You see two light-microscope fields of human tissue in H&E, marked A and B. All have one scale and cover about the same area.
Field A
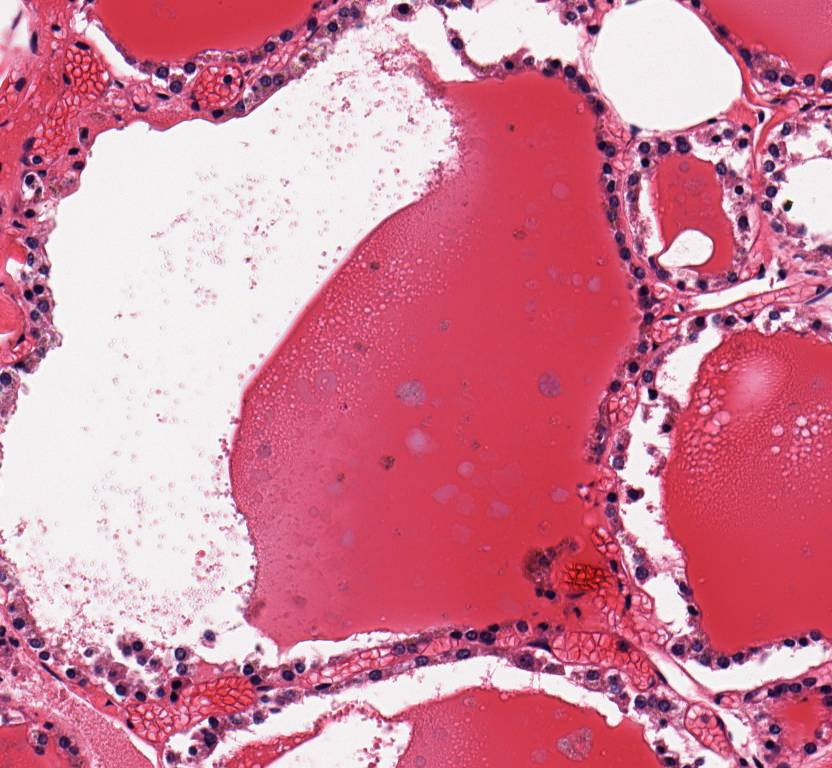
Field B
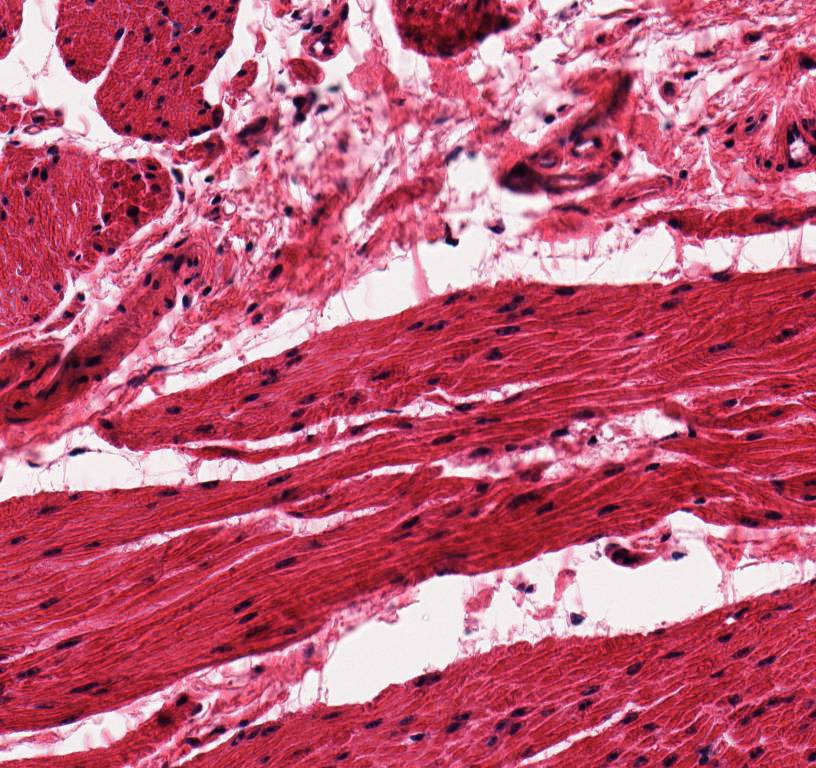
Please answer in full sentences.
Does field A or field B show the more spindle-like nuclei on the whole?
The nuclei are more elongated in field B.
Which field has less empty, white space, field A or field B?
It is field B that stained tissue fills more completely.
